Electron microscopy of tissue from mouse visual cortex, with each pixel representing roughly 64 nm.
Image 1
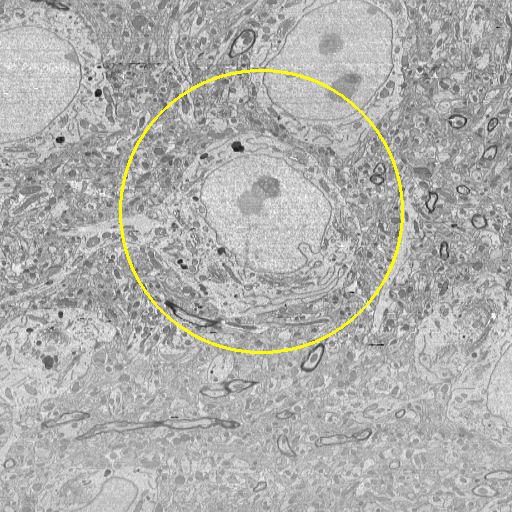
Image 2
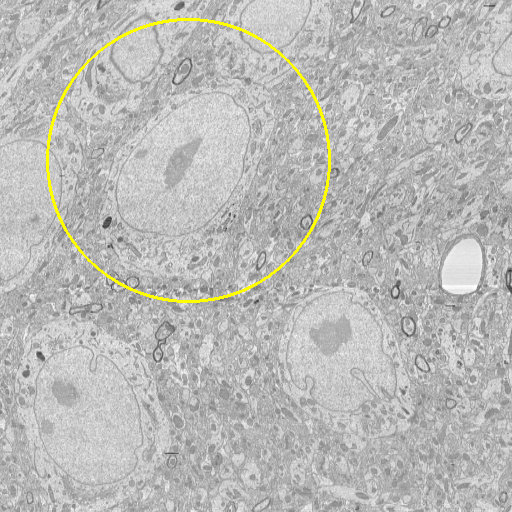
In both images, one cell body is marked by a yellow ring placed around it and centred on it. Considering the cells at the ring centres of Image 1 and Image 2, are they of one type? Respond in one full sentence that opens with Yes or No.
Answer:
No, two types apply to the ring-centred cells of Image 1 and Image 2.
